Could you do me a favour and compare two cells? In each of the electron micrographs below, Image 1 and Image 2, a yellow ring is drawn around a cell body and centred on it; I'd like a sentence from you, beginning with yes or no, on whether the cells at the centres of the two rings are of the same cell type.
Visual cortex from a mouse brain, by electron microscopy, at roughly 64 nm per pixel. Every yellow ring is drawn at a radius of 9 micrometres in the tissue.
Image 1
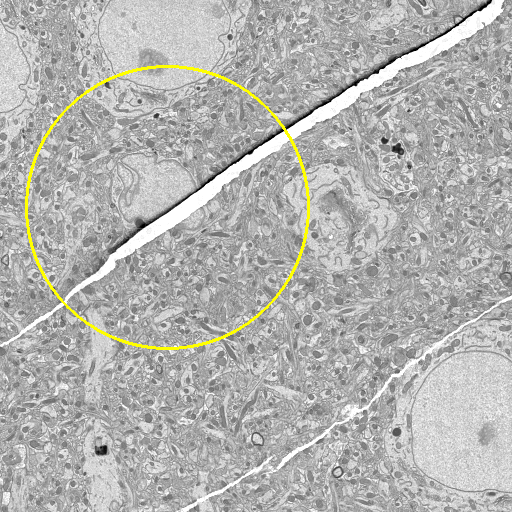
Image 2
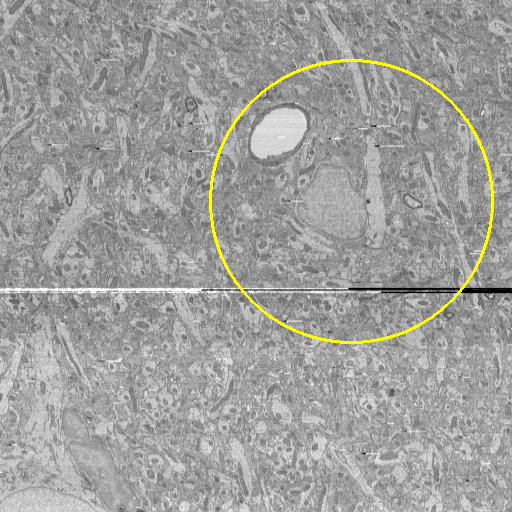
Yes, the two cells are of the same cell type.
